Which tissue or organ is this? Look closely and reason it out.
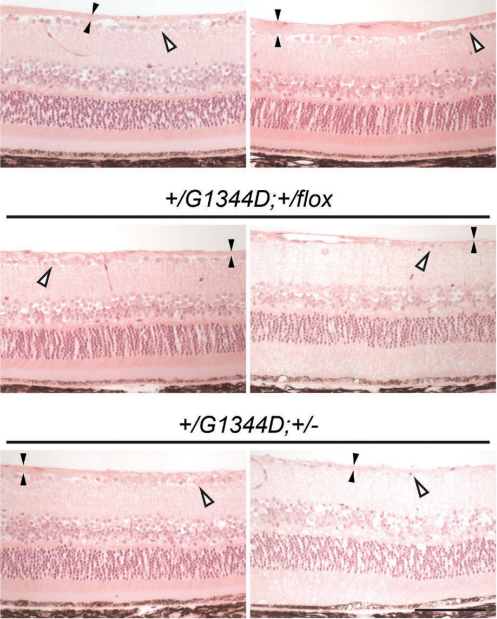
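The tissue is built of stacked horizontal layers. A thick band of densely packed dark purple nuclei lies above a pale striated band. A dark pigmented band runs along the bottom edge.
Hence: retina.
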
